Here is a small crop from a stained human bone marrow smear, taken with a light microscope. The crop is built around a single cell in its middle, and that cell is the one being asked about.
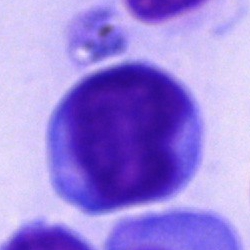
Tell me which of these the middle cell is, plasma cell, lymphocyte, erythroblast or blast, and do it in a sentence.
The cell featured at the centre of this crop is a blast.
